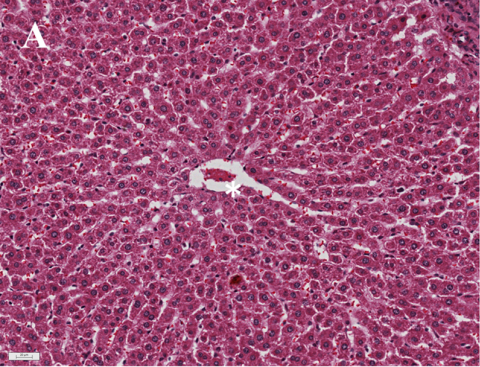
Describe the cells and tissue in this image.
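This is normal liver tissue, with hepatocytes arranged in plates that radiate from a central vein. The hepatocytes are polygonal cells with evenly pink cytoplasm. Each has a round, centrally placed, purple nucleus, and some nuclei show a visible nucleolus. Narrow, clear sinusoids run between the cell plates, and a few red blood cells lie within them. The lining of the central vein is thin. The cells are even in size, and the lobular pattern is regular across the field.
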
